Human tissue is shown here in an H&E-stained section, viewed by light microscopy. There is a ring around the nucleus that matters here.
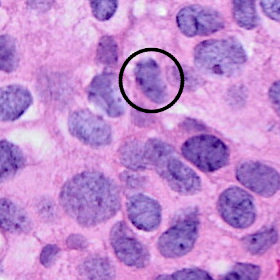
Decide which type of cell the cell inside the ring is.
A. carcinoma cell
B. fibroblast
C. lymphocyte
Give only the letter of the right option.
A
